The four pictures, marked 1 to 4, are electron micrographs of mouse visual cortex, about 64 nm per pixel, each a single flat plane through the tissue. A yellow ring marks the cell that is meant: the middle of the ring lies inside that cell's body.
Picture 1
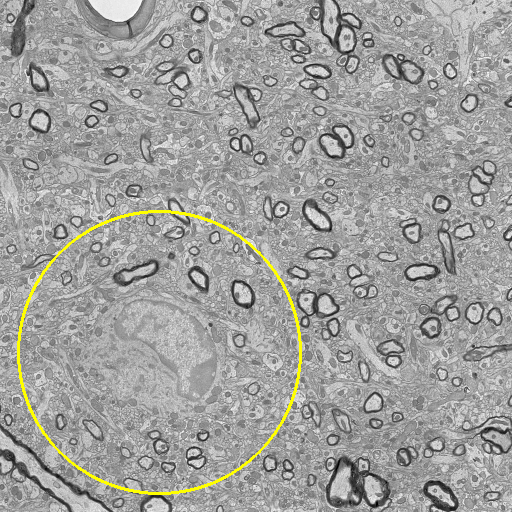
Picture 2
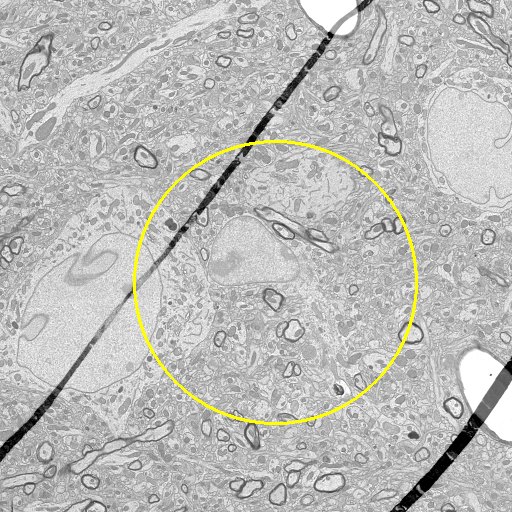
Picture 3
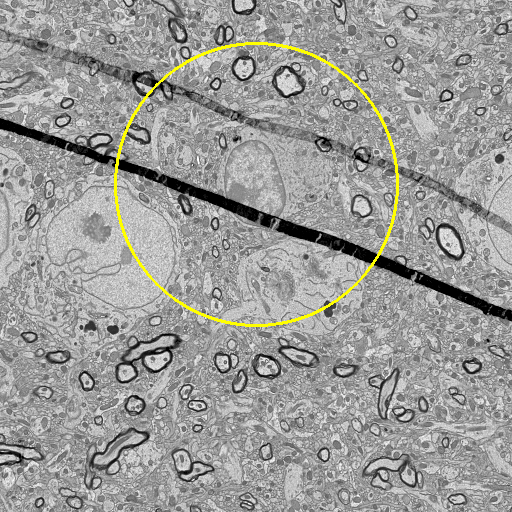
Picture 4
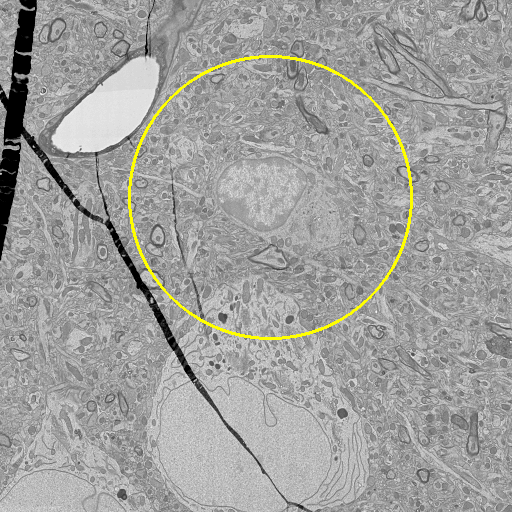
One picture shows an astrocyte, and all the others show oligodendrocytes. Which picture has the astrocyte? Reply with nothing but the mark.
2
